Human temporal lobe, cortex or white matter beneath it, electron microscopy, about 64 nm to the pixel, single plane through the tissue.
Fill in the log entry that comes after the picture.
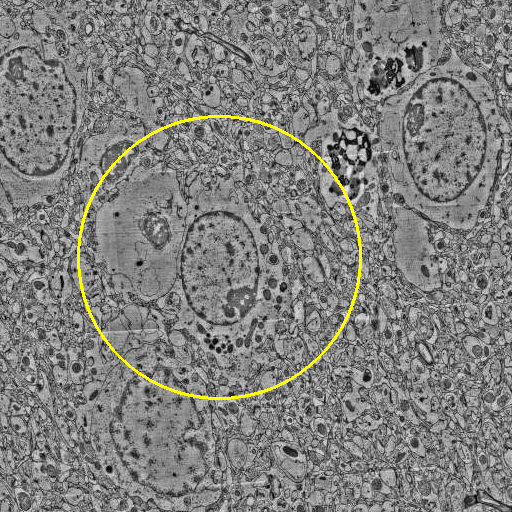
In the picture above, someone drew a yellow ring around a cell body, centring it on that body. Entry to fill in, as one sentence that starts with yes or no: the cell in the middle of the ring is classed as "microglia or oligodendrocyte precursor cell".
No, the cell in the ring's centre in this image is of a different kind.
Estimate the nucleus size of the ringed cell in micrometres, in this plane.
The nucleus of the ringed cell is approximately 7 by 5 micrometres in this plane.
